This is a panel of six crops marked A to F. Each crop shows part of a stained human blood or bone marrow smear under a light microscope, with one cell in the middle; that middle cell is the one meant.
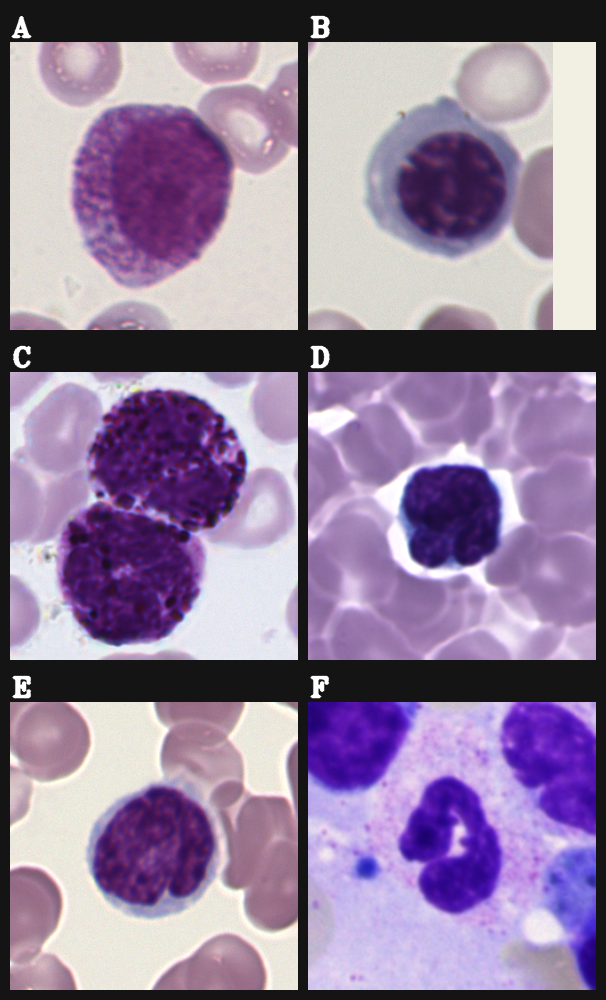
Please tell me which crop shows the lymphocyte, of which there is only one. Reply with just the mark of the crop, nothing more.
D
